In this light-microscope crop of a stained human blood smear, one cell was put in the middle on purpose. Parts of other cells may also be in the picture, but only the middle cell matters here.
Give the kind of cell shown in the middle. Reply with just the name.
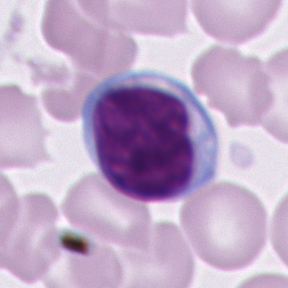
lymphocyte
